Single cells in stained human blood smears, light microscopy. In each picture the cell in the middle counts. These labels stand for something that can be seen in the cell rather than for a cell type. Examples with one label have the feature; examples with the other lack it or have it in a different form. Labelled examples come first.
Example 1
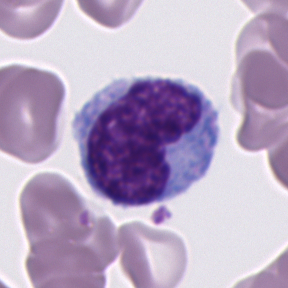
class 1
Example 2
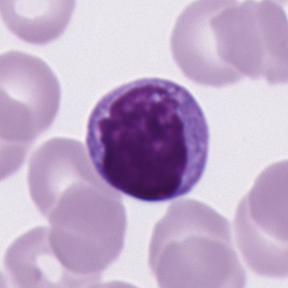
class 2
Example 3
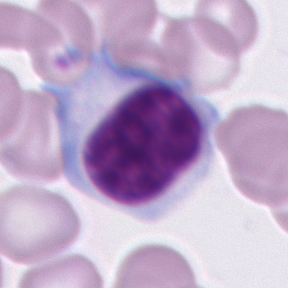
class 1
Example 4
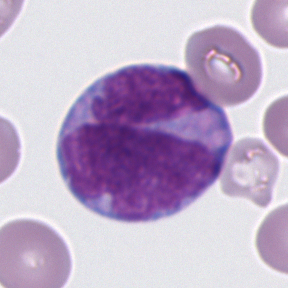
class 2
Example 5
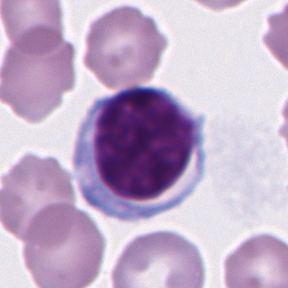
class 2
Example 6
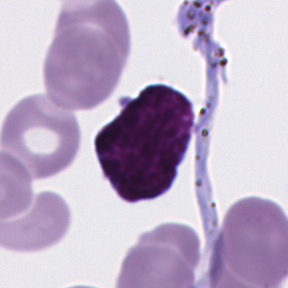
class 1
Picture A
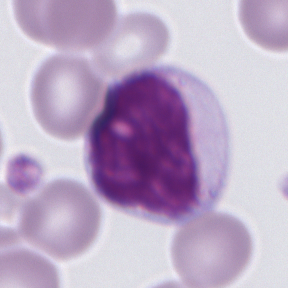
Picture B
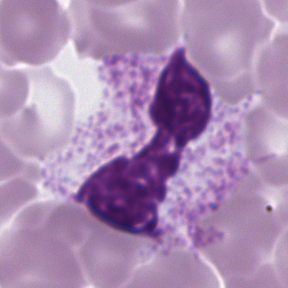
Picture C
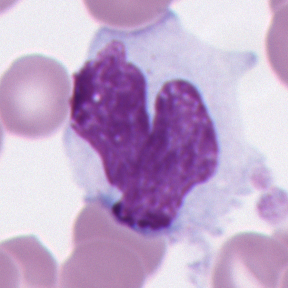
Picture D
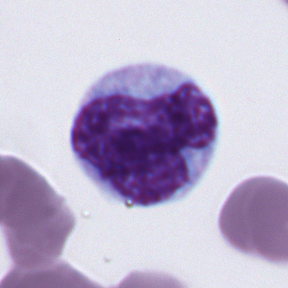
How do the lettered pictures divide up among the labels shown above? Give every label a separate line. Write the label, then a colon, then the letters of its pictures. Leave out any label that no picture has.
class 1: B, C
class 2: A, D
